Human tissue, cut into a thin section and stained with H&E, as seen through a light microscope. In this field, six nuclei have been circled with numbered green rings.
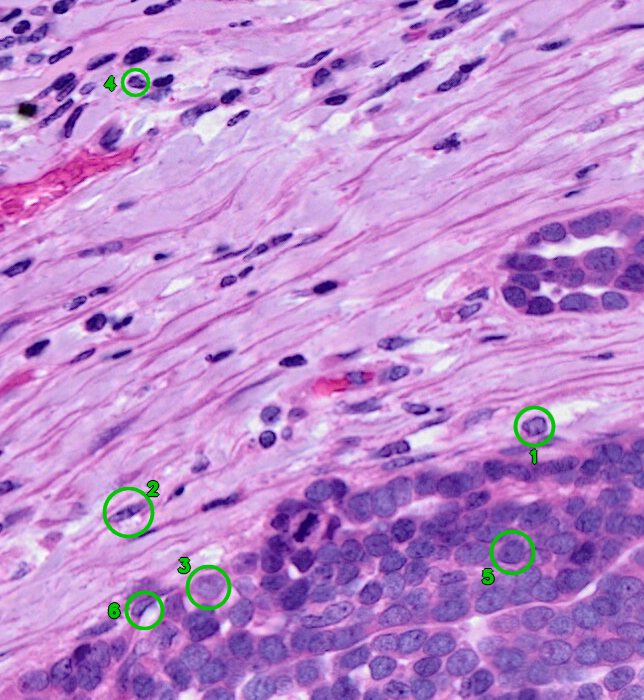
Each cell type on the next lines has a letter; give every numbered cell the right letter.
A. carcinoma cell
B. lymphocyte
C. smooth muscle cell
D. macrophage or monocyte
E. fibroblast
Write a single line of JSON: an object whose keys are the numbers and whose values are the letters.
{"1": "D", "2": "E", "3": "A", "4": "B", "5": "A", "6": "E"}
